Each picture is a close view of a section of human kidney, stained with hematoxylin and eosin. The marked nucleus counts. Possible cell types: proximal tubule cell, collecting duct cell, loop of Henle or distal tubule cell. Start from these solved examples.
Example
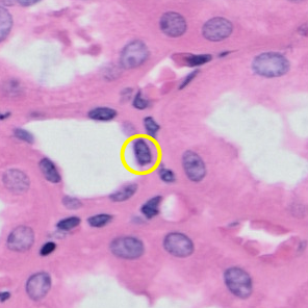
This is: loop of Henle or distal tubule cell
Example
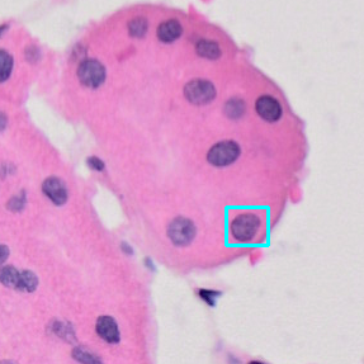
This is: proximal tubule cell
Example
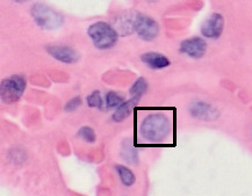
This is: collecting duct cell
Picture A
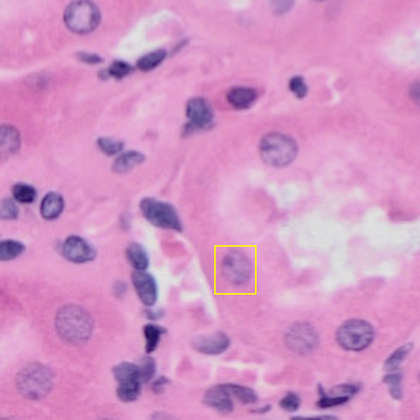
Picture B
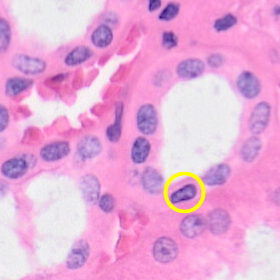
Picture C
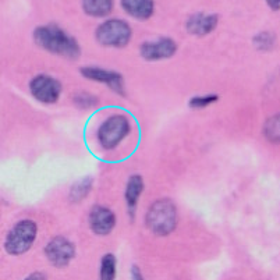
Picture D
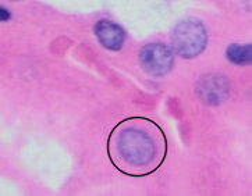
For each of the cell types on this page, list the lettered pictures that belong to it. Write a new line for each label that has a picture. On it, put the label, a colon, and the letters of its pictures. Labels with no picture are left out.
proximal tubule cell: A, D
collecting duct cell: B
loop of Henle or distal tubule cell: C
